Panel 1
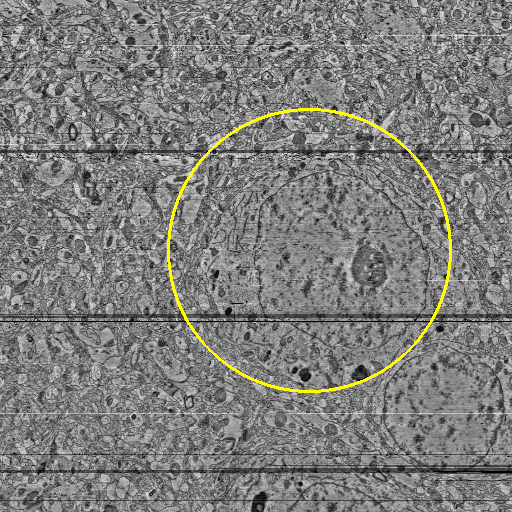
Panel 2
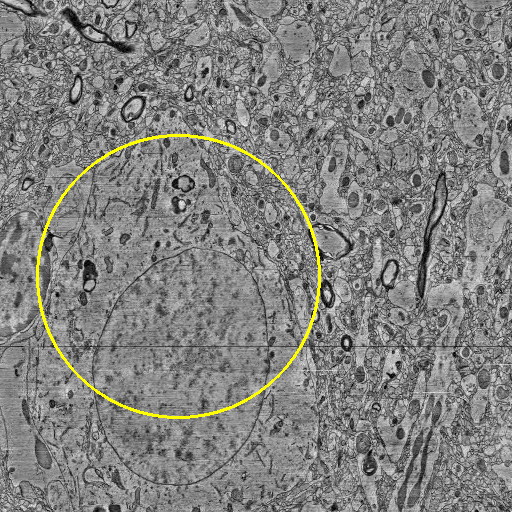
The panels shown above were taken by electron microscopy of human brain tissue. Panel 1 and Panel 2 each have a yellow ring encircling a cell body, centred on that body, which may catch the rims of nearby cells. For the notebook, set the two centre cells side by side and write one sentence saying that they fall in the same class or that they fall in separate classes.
The centred cells of Panel 1 and Panel 2 fall in the same class.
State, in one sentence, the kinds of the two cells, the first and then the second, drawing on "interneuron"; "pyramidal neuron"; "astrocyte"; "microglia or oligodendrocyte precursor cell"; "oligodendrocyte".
The first and the second cell are each a pyramidal neuron.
